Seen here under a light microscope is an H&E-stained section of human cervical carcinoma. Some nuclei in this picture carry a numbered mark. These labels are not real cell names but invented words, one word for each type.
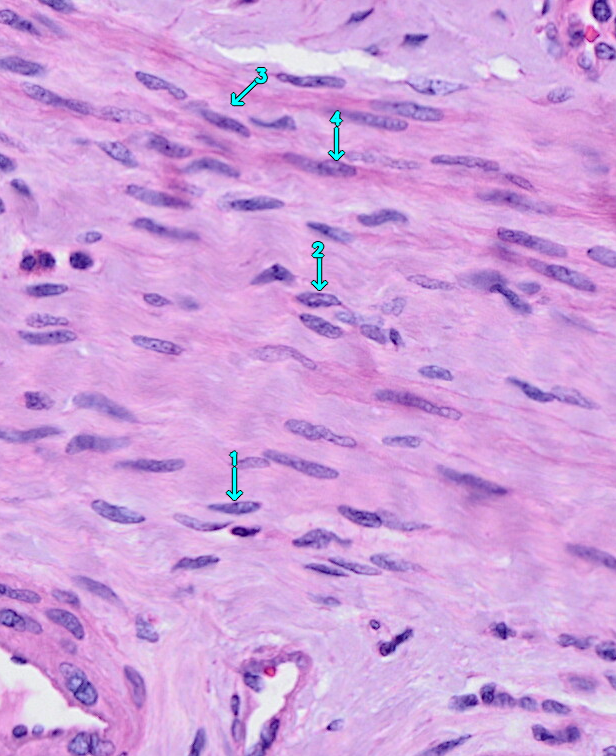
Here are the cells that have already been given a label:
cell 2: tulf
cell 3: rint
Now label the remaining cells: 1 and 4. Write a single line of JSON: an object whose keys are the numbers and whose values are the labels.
{"1": "tulf", "4": "rint"}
